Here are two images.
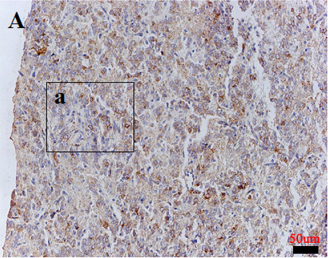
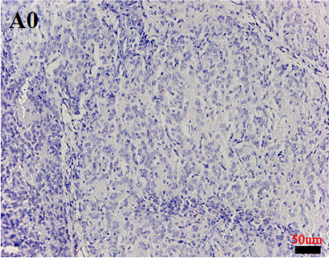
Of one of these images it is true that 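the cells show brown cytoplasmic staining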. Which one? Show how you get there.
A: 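Second image: the tissue is stained only blue, with no brown deposit. First image: brown granular deposits are spread through the cytoplasm of many cells.
Hence: the first image.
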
